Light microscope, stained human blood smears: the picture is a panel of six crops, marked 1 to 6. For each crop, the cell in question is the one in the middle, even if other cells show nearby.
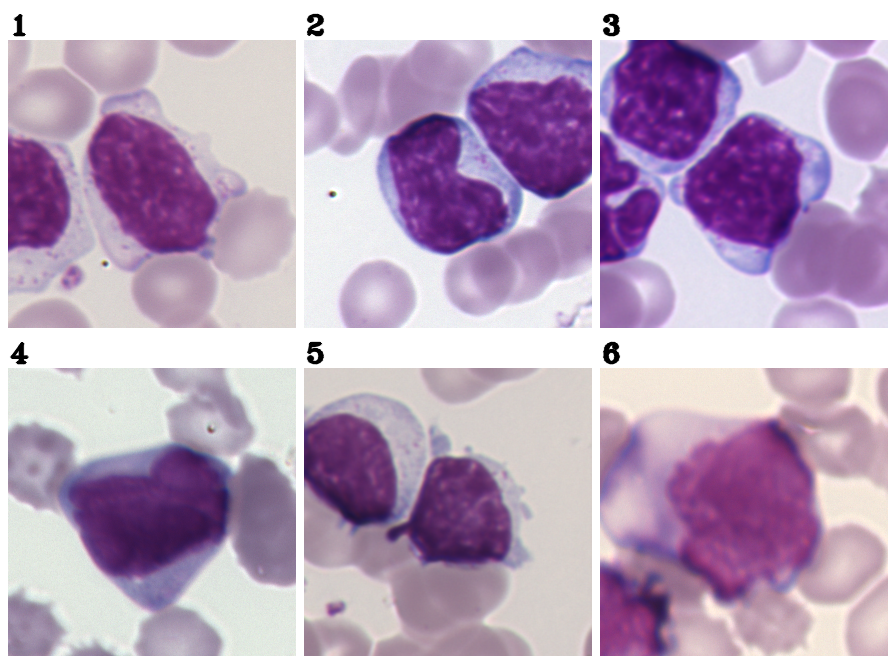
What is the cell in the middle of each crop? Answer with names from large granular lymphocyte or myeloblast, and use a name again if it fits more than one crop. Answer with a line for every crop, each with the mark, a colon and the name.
1: large granular lymphocyte
2: large granular lymphocyte
3: large granular lymphocyte
4: myeloblast
5: large granular lymphocyte
6: myeloblast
